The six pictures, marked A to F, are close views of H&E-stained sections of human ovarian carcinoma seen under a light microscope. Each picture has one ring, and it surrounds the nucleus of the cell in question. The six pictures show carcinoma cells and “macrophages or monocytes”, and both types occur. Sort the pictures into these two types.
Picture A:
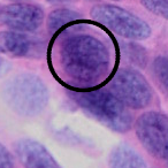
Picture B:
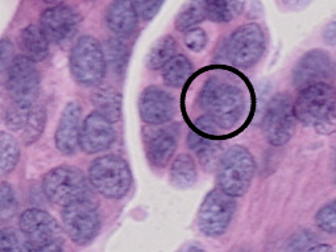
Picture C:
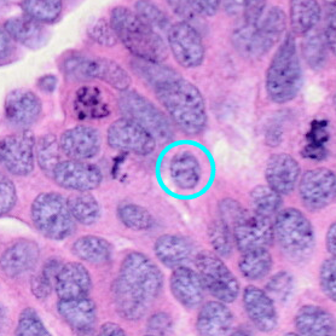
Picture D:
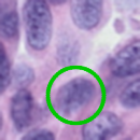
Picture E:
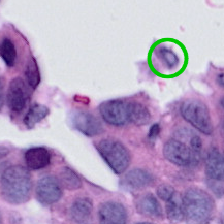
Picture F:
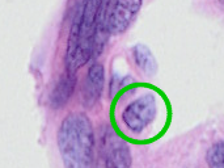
A: carcinoma cell
B: carcinoma cell
C: macrophage or monocyte
D: carcinoma cell
E: macrophage or monocyte
F: macrophage or monocyte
